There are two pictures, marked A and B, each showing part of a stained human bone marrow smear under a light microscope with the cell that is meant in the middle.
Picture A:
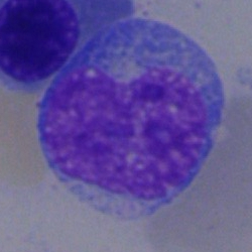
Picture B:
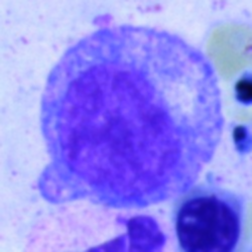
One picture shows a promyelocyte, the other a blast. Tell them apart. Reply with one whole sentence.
The cell in picture A is a blast, and the one in picture B is a promyelocyte.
